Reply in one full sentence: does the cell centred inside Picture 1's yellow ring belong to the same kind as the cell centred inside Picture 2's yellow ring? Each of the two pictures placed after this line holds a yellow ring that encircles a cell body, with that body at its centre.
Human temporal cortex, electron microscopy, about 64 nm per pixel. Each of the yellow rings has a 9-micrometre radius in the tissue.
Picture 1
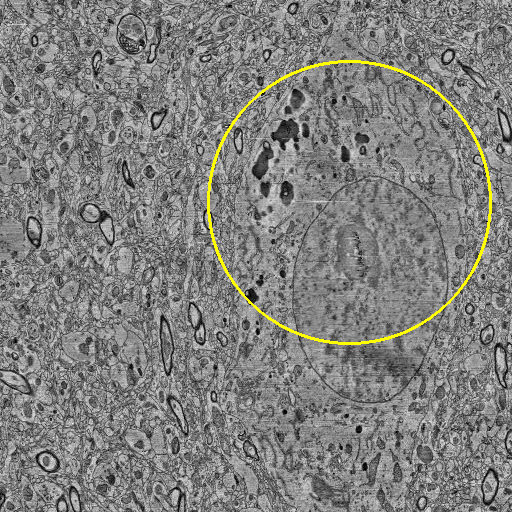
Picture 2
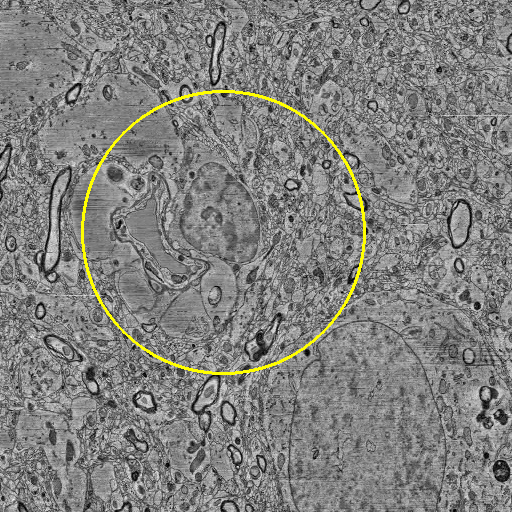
No, the ring-centred cells in Picture 1 and Picture 2 are of two separate kinds.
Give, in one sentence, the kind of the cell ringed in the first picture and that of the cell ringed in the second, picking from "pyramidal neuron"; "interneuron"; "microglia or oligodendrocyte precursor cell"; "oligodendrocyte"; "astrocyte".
For the first picture it is a pyramidal neuron; for the second, an oligodendrocyte.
